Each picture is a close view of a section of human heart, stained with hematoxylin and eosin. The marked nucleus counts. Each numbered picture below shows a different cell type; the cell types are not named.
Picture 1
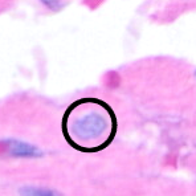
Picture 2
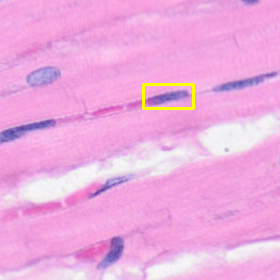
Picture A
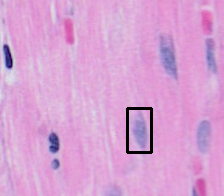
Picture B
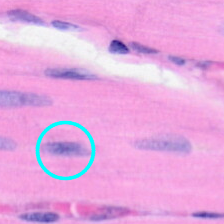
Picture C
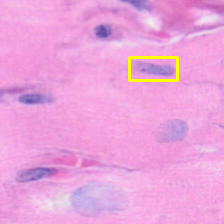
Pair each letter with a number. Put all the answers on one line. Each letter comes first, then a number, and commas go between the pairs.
A 2, B 2, C 1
